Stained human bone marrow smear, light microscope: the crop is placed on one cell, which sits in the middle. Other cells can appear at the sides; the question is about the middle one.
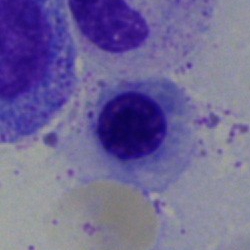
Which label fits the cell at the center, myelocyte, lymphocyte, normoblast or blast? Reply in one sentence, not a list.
The cell found in the middle of this crop is a normoblast.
